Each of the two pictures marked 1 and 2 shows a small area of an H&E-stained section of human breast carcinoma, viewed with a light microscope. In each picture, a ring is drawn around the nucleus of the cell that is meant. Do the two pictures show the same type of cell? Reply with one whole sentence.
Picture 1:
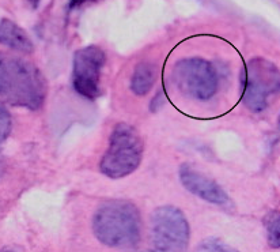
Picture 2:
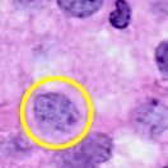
Yes; the cells in both pictures are carcinoma cells.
